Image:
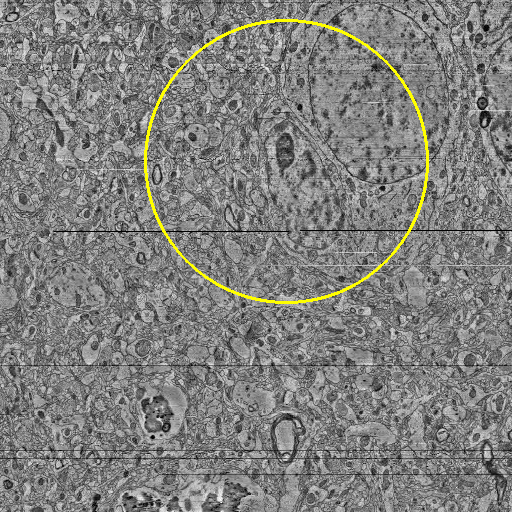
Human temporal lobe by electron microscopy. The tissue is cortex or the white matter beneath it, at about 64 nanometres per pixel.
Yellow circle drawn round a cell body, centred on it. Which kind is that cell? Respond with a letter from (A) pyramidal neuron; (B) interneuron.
B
